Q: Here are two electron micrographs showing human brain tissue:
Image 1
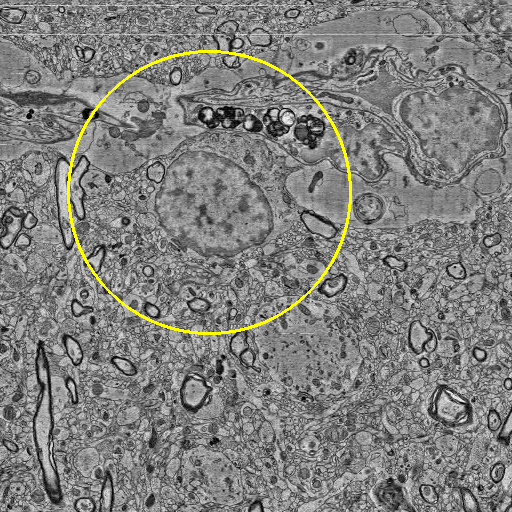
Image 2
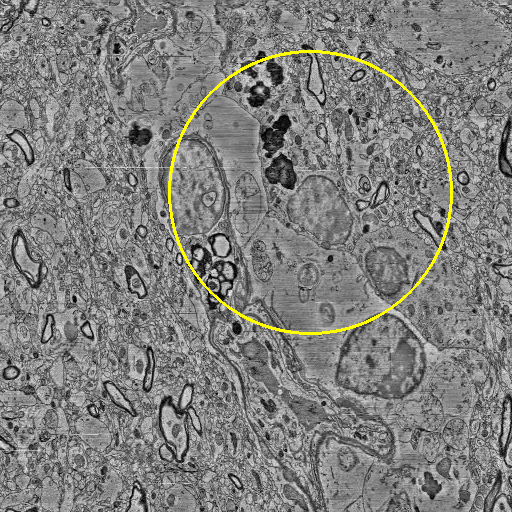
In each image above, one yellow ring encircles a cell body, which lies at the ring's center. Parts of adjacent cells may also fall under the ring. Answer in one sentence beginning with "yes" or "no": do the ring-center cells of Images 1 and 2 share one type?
Yes, in Images 1 and 2, the ring-center cells are both of one type.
